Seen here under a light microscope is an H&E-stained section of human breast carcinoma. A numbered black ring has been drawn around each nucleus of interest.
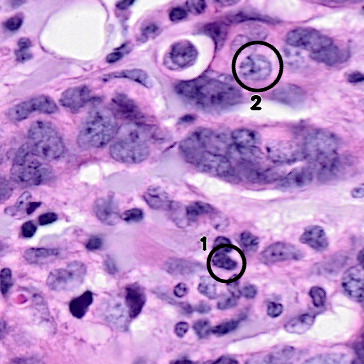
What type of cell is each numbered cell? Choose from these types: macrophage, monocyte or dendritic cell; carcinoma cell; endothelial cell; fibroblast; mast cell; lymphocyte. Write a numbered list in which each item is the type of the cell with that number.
1. lymphocyte
2. carcinoma cell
